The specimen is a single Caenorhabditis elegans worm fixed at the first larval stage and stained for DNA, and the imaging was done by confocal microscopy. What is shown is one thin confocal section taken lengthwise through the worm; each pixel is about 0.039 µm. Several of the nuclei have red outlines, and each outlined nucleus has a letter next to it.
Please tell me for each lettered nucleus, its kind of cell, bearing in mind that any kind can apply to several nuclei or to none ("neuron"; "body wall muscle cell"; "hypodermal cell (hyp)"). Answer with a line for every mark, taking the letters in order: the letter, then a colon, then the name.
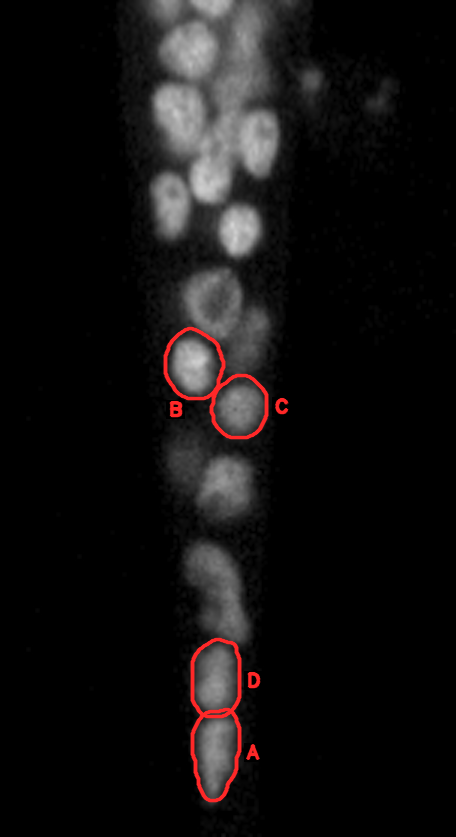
A: hypodermal cell (hyp)
B: neuron
C: hypodermal cell (hyp)
D: hypodermal cell (hyp)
